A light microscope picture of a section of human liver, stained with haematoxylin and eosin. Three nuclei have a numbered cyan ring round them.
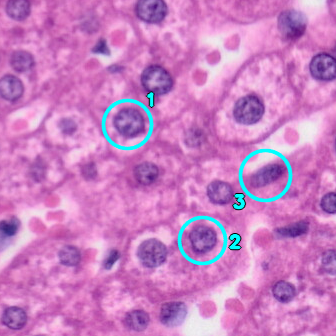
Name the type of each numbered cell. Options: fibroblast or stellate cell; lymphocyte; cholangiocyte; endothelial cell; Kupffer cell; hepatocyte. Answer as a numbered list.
1. hepatocyte
2. hepatocyte
3. Kupffer cell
